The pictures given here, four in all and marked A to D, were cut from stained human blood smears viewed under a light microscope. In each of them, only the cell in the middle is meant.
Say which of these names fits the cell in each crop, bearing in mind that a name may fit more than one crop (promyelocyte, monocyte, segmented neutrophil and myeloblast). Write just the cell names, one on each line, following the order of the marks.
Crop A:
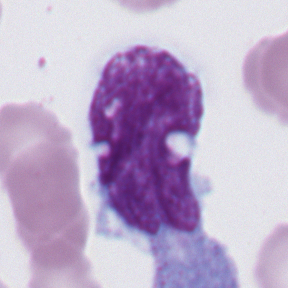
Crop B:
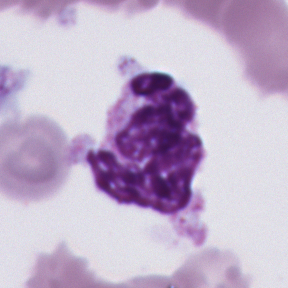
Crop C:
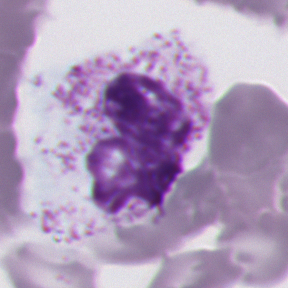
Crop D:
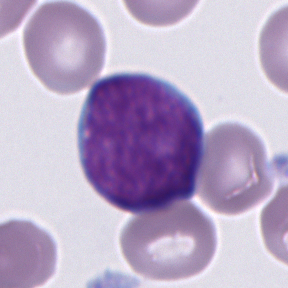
monocyte
segmented neutrophil
segmented neutrophil
myeloblast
